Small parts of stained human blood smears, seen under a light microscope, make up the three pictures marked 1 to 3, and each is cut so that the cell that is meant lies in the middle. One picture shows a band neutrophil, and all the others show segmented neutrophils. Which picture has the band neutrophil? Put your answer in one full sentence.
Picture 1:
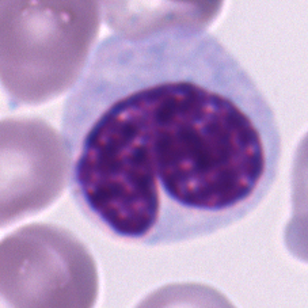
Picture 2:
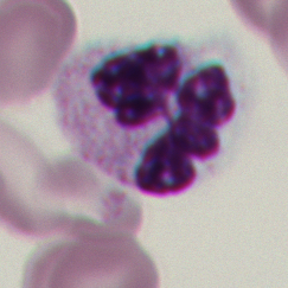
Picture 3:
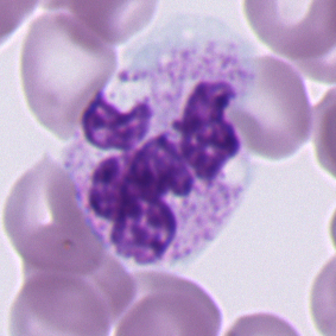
The band neutrophil is the one in picture 1.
